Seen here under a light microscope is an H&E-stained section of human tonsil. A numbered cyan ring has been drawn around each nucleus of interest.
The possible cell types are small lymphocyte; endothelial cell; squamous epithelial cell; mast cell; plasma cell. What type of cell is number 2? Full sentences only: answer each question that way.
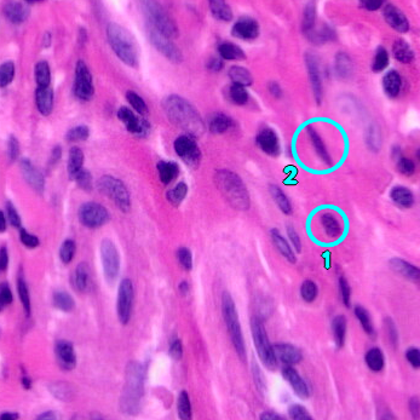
Recognised here as an endothelial cell is the cell numbered 2.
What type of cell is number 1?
Recognised here as a mast cell is the cell numbered 1.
